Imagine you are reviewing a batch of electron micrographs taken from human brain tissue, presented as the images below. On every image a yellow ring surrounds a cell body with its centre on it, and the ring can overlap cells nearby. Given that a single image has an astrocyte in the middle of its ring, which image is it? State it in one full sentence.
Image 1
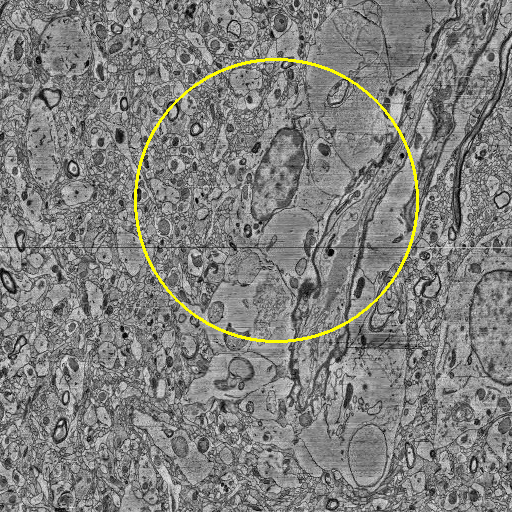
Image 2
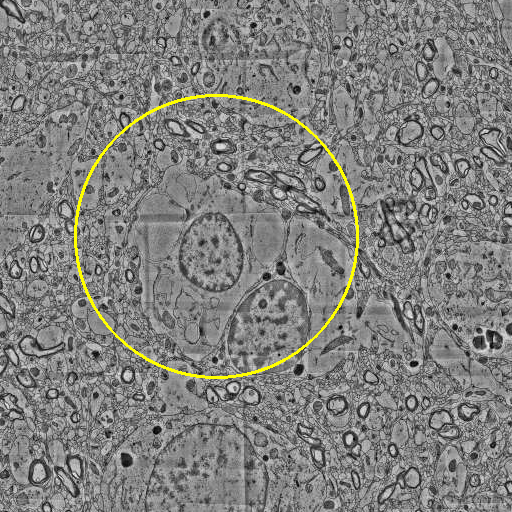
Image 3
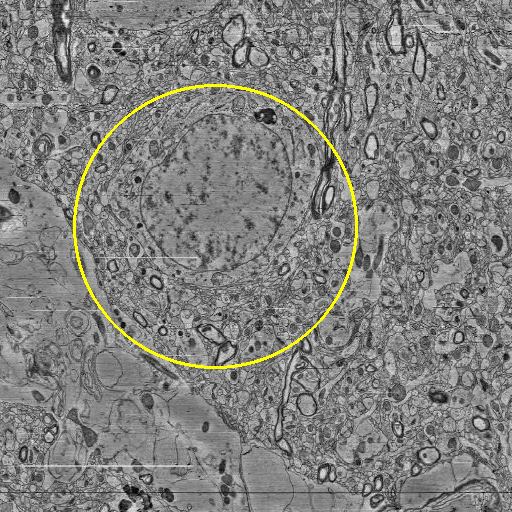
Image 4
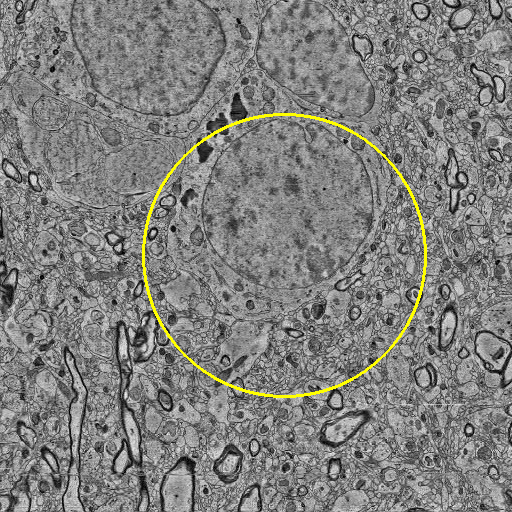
Of all the images, number 2 has the described cell at the centre of its ring.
